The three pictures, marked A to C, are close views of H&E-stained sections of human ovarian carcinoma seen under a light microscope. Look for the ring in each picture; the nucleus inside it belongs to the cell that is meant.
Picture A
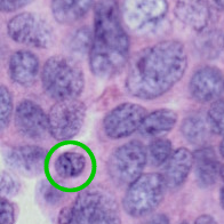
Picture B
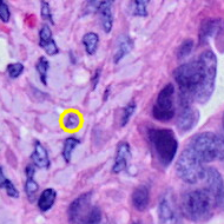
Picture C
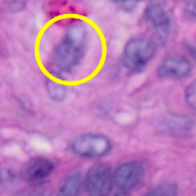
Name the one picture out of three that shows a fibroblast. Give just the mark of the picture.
B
